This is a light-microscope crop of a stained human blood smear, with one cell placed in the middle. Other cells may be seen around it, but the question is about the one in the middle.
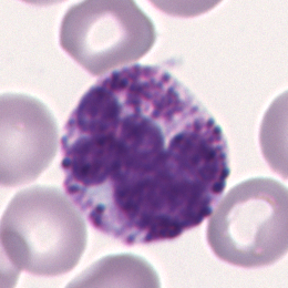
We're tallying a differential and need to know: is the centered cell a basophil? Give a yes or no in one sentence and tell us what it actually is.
Yes, the cell here in the middle is a basophil.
